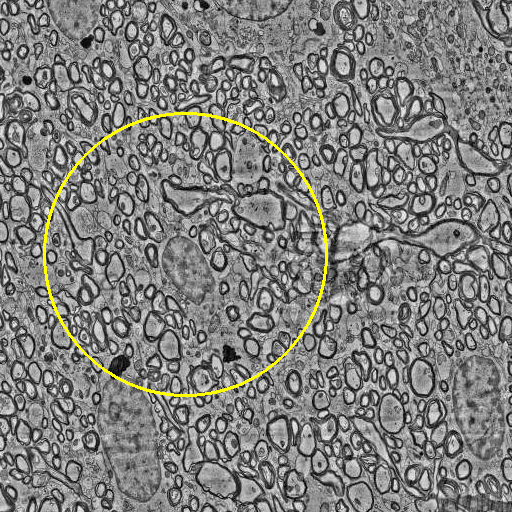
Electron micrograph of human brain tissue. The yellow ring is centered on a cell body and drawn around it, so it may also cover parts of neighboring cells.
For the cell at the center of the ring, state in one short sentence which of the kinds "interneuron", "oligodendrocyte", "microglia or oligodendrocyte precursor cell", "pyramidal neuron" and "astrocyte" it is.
This ring is centered on an oligodendrocyte.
